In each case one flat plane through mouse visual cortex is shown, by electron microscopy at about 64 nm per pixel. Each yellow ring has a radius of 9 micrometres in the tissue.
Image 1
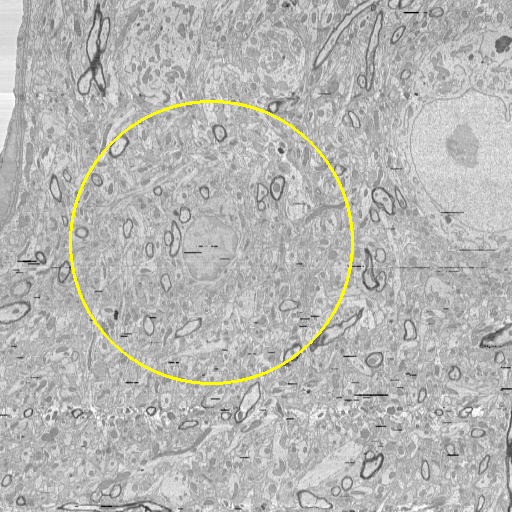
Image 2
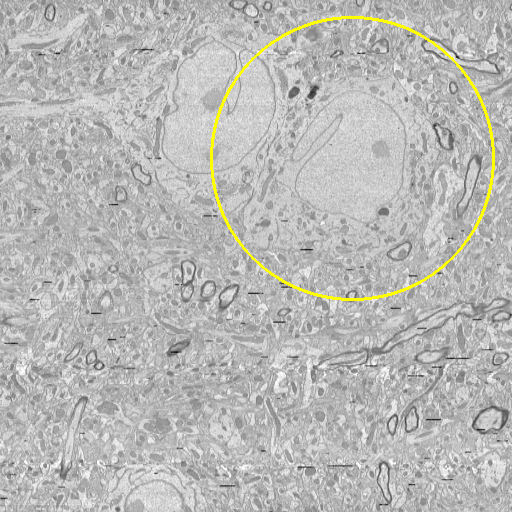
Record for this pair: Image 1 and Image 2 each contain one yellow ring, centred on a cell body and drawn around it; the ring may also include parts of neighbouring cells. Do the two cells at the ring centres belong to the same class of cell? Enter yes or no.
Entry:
no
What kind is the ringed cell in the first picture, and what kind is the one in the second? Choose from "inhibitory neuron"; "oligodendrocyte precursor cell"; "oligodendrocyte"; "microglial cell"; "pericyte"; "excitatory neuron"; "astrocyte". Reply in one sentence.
The first cell is a microglial cell; the second is an excitatory neuron.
